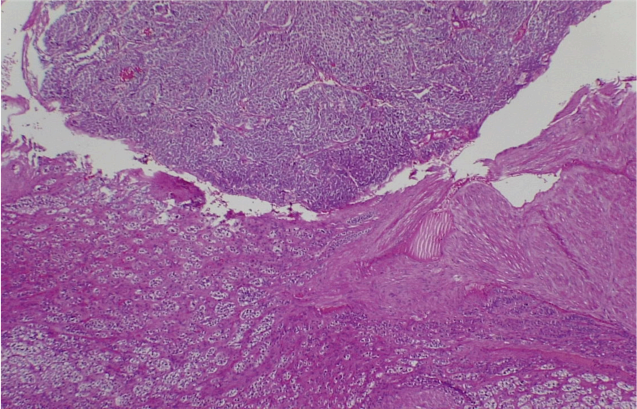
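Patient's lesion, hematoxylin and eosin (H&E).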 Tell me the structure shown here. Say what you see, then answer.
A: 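Lower part shows cords of pale, vacuolated cells. Upper part shows a densely cellular, more basophilic mass. A cleft and fibrous band separate the two areas. The answer: Transition between the adrenal cortex of usual histology (lower part of the image) and the tumor.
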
